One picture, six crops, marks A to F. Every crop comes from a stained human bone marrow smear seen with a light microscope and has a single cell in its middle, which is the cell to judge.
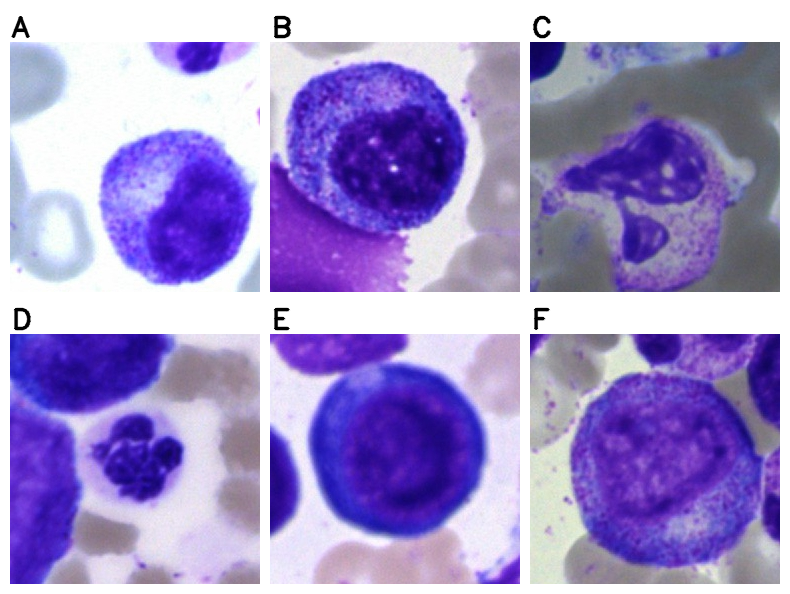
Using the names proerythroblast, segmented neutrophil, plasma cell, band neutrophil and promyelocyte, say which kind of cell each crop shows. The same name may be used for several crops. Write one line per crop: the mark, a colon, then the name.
A: promyelocyte
B: promyelocyte
C: segmented neutrophil
D: segmented neutrophil
E: proerythroblast
F: promyelocyte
